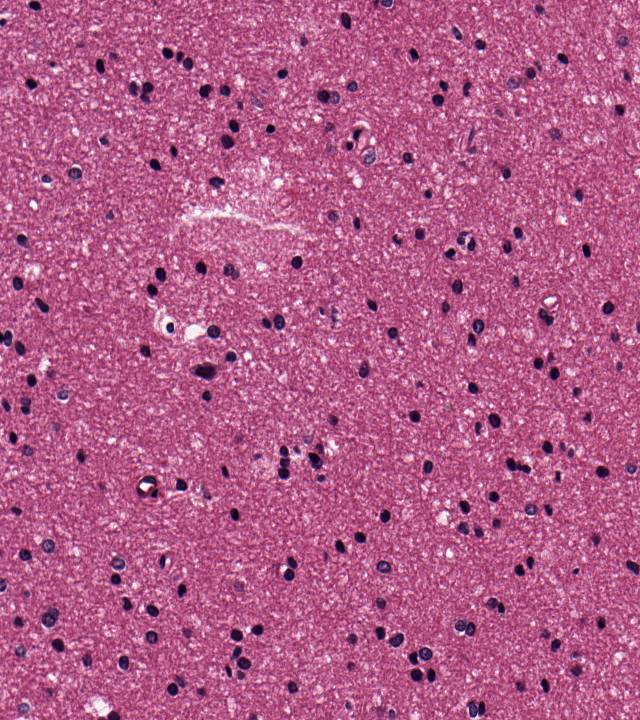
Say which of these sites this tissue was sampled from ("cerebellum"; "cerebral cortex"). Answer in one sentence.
The site this tissue was sampled from is the cerebral cortex.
